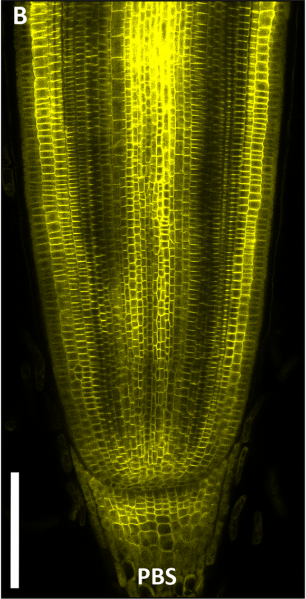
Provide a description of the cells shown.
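A root tip is seen in longitudinal view, with the root meristem above and the root cap at the bottom. Small rectangular cells lie in regular longitudinal files, each outlined by yellow fluorescence at its boundary, and the central files are the brightest. At the tip, the cap is made of larger, more loosely arranged cells in tiers.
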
